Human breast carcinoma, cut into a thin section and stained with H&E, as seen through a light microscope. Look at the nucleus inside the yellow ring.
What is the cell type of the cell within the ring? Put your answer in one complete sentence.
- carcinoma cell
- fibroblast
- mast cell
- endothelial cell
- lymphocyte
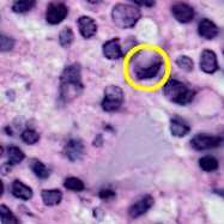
As a matter of cell type, the cell within the ring is a lymphocyte.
